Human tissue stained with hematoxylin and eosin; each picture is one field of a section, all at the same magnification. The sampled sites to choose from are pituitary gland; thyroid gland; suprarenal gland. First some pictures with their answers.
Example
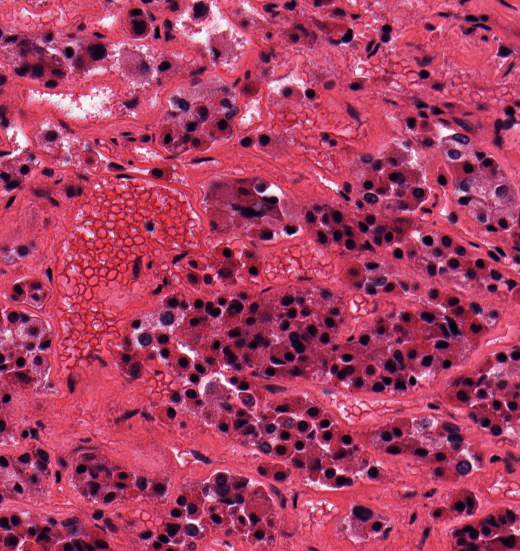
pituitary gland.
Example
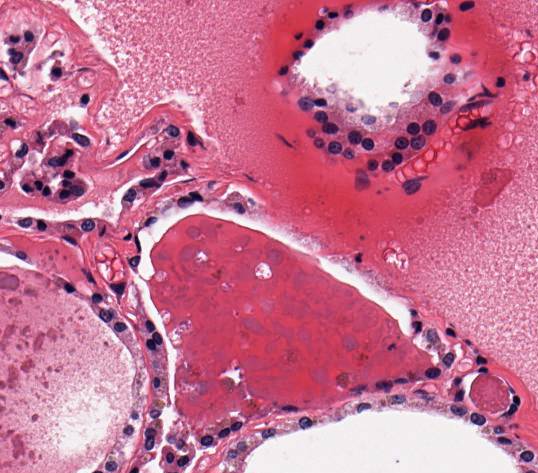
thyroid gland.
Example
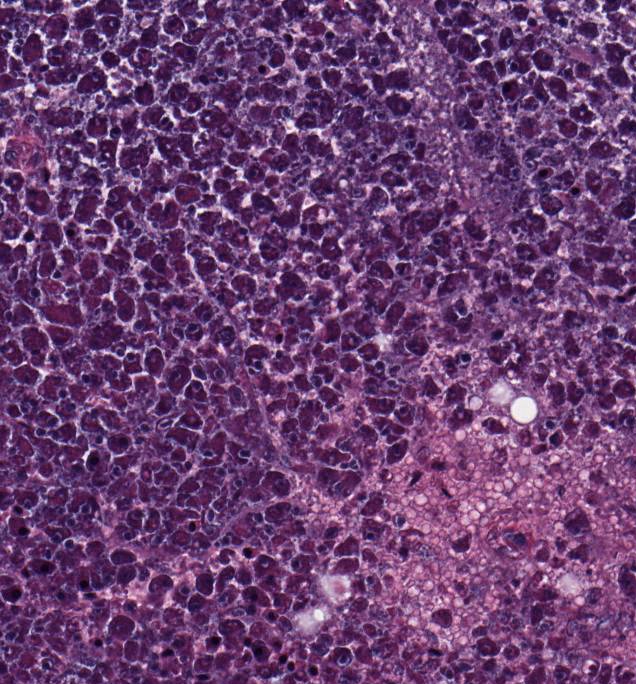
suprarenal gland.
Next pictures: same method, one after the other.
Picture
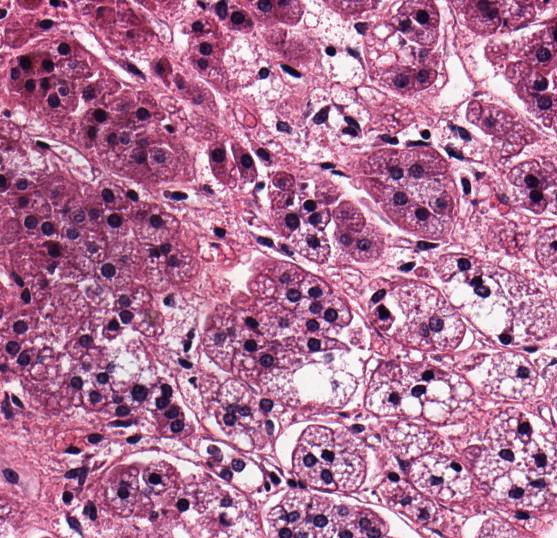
suprarenal gland.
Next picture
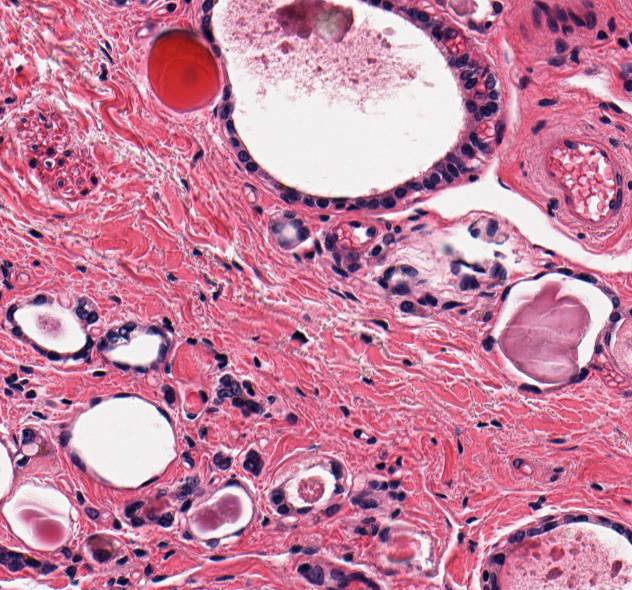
thyroid gland.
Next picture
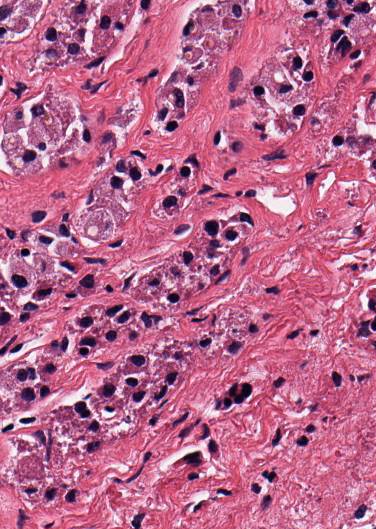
pituitary gland.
